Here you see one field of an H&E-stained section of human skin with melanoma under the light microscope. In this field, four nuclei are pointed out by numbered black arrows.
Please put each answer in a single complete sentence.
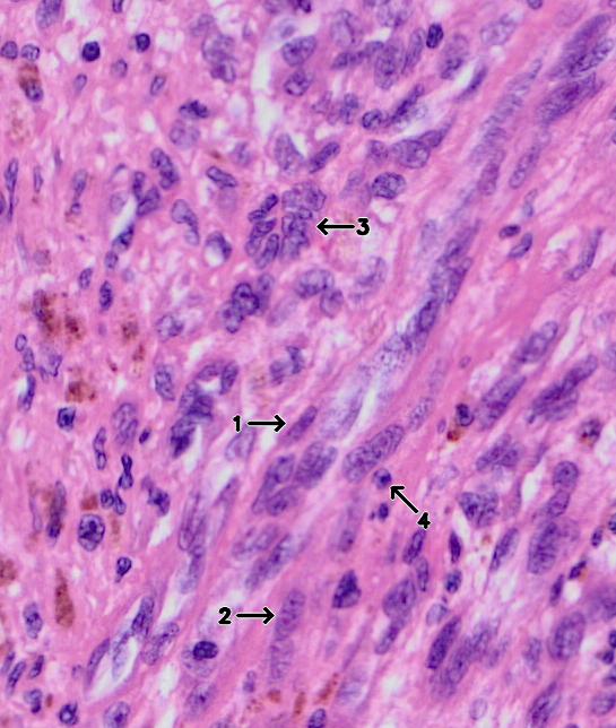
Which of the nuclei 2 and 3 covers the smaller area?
With nucleus 2 about 1.5 times its size, nucleus 3 is the smaller of the two.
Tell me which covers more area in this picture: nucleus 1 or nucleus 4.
Nucleus 1 is the larger one, covering about 2 times the area of nucleus 4.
